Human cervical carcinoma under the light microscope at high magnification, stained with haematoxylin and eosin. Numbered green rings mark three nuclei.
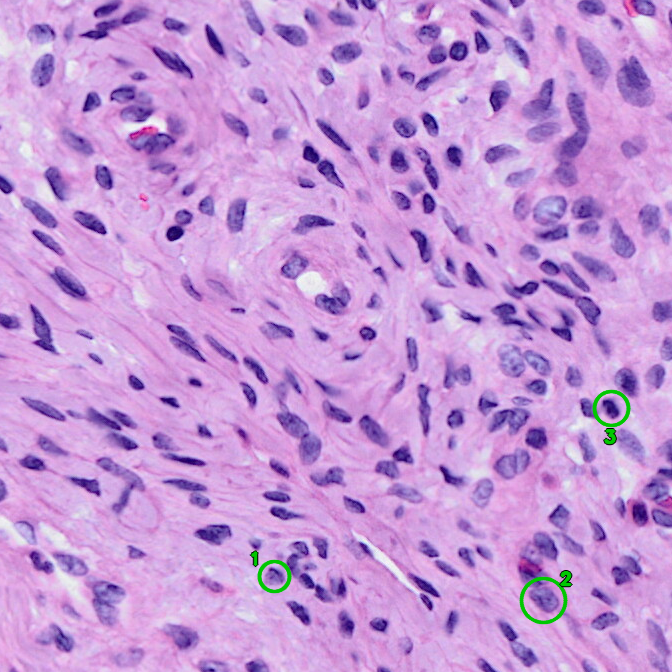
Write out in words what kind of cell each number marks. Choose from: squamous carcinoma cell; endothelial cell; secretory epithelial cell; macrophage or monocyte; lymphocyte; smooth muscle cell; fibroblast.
Cell 1 is a fibroblast. Cell 2 is an endothelial cell. Cell 3 is a lymphocyte.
